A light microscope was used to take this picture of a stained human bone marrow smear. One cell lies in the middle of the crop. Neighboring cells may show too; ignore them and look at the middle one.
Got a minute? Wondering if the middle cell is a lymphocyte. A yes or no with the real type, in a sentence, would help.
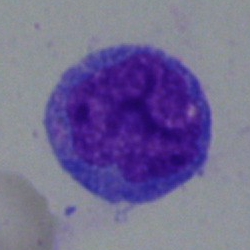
No, the central cell is reported as a blast rather than as a lymphocyte.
